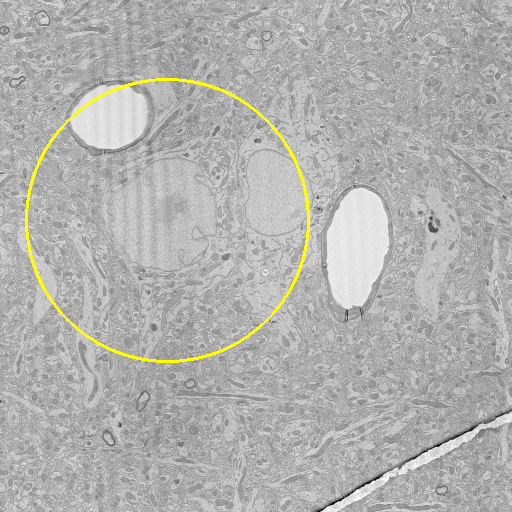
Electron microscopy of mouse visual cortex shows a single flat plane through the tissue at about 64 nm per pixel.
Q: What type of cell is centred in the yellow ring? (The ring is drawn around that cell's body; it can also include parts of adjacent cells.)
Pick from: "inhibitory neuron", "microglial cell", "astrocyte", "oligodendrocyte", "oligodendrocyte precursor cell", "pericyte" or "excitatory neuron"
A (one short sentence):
The yellow ring is centred on an inhibitory neuron.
